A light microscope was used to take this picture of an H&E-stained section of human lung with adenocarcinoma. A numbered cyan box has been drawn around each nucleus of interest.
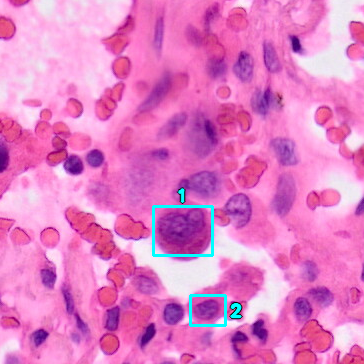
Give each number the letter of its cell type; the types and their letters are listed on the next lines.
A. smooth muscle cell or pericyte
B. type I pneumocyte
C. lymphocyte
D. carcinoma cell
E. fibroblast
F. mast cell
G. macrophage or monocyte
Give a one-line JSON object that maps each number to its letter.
{"1": "D", "2": "G"}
